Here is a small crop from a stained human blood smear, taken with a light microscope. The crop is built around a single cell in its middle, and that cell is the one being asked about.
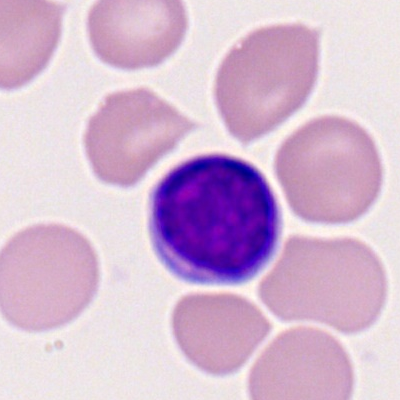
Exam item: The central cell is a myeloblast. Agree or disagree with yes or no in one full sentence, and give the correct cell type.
No, in this crop the middle cell is a lymphocyte, not a myeloblast.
